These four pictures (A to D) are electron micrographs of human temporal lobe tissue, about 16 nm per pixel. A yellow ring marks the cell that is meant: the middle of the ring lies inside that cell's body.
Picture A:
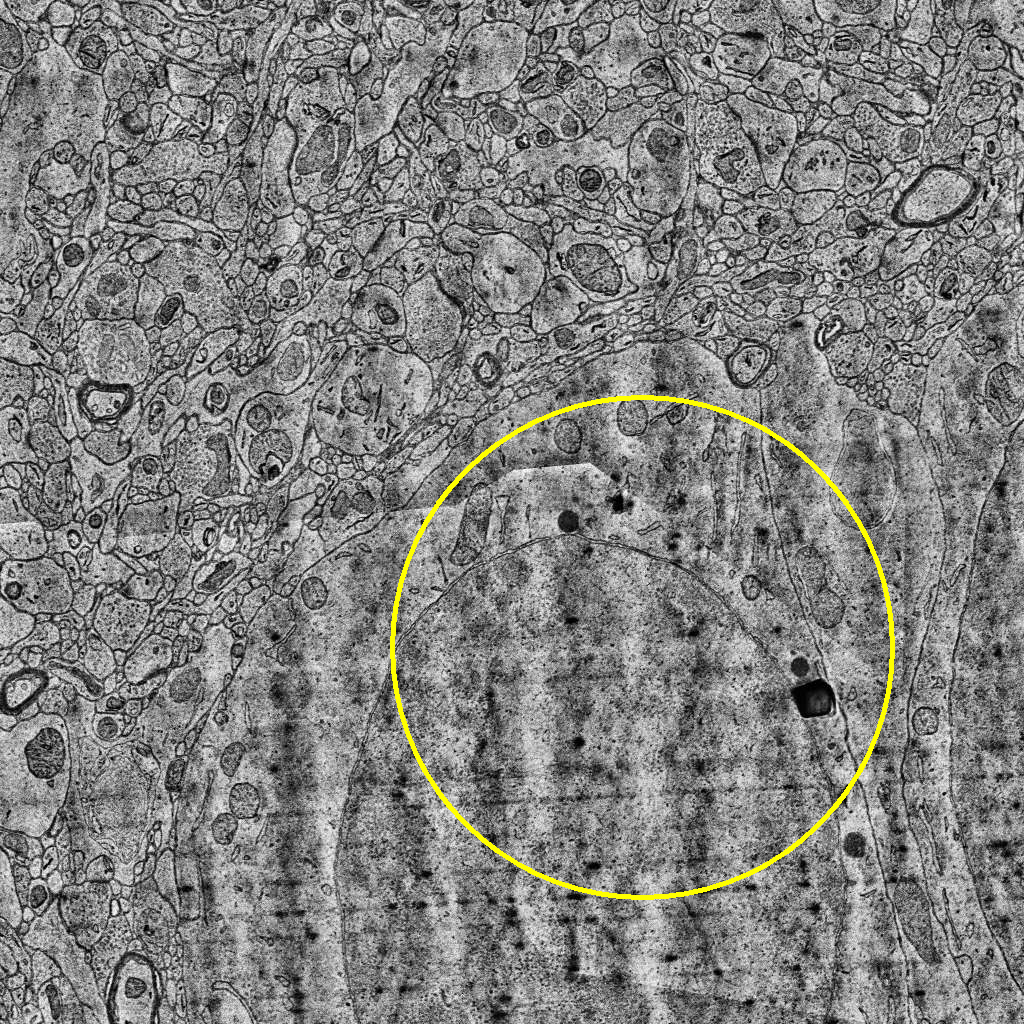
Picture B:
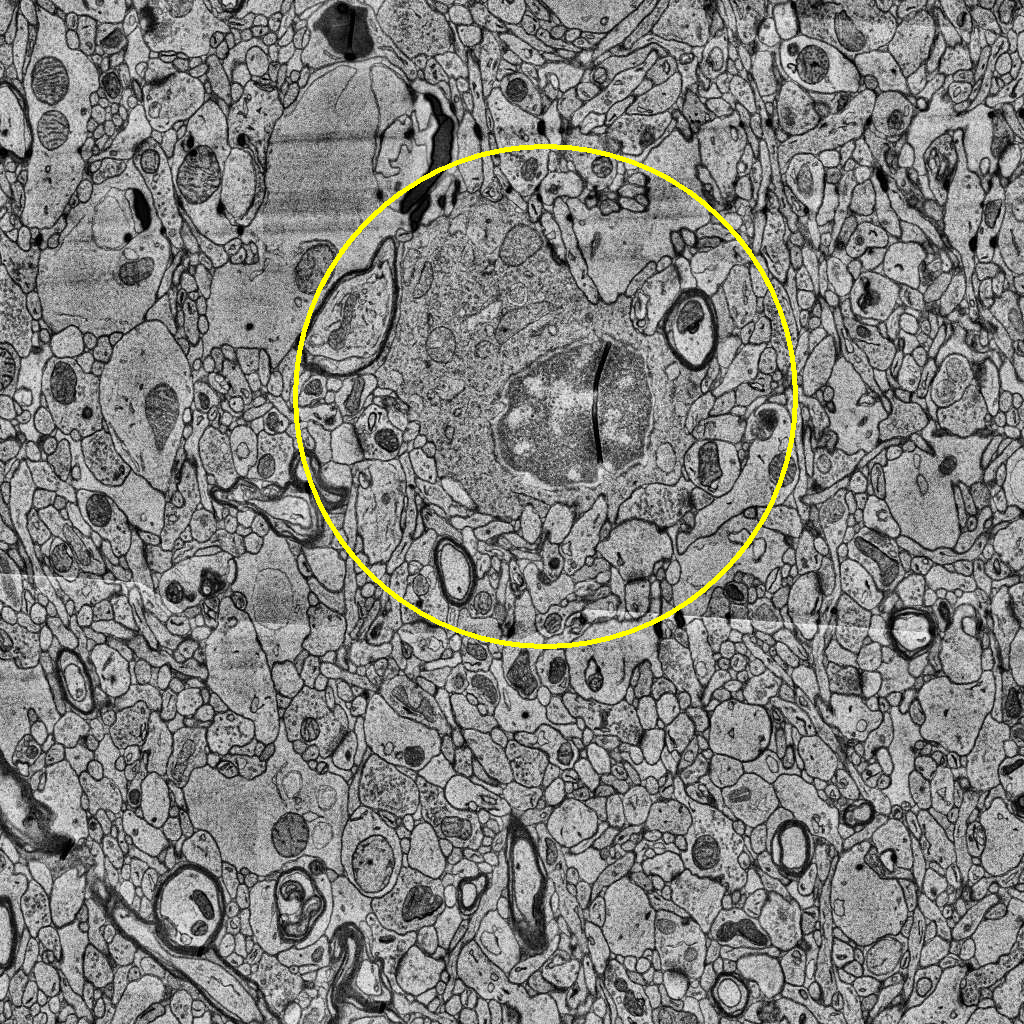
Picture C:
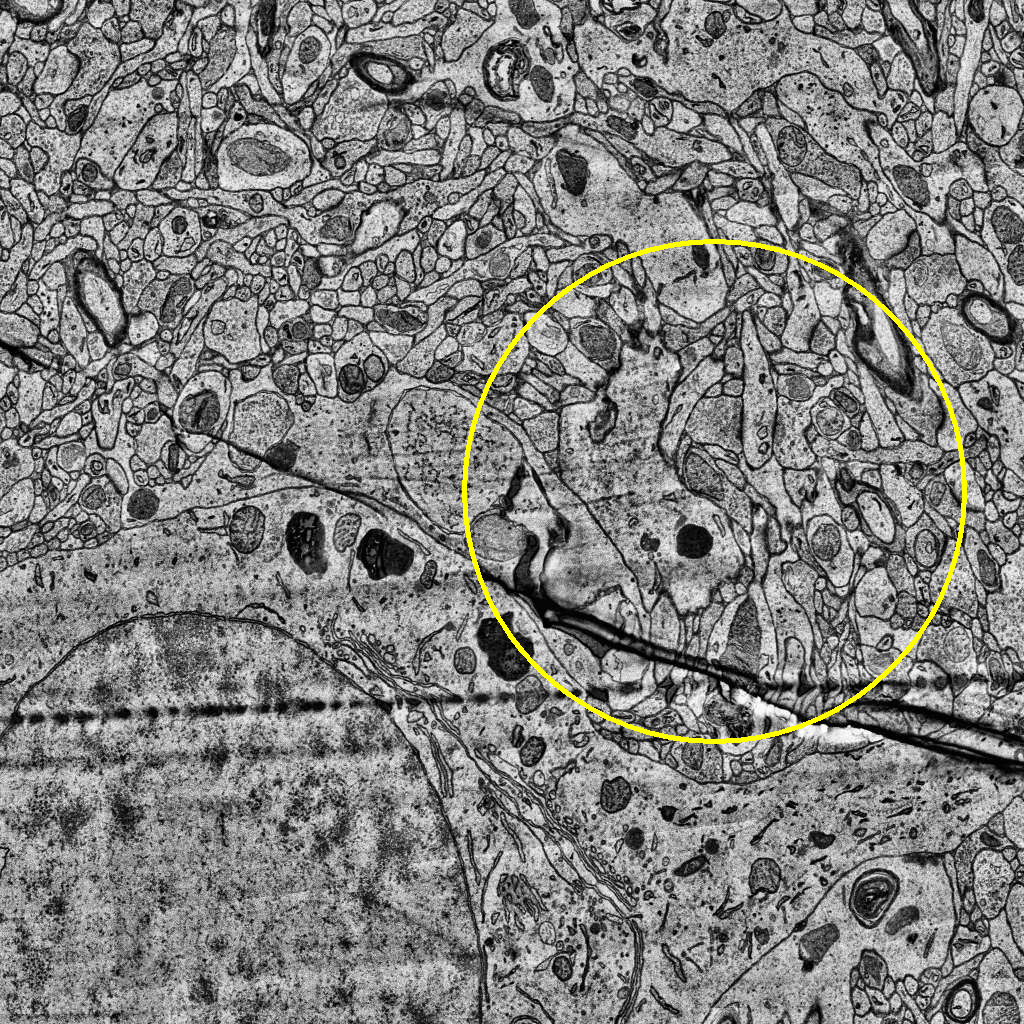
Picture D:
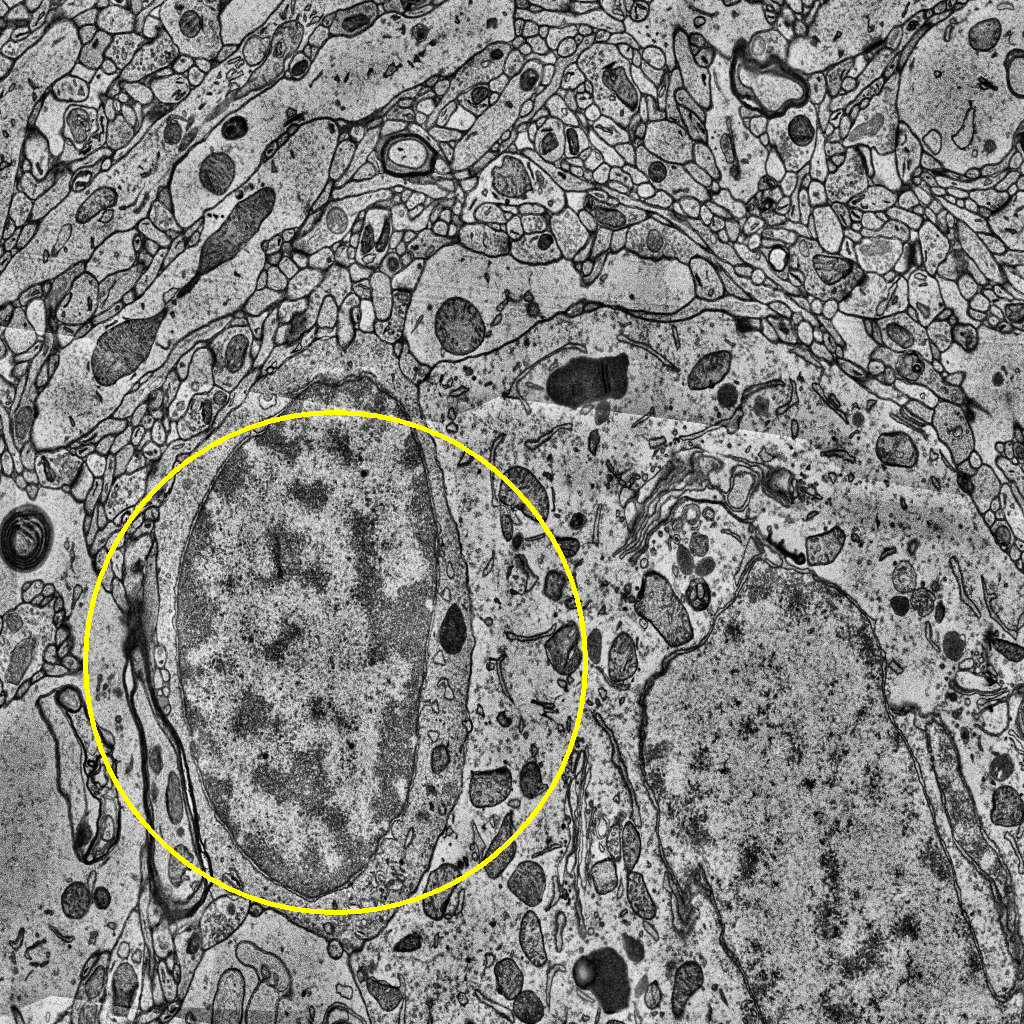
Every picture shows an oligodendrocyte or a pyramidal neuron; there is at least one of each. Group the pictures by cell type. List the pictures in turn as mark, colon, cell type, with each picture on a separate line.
A: pyramidal neuron
B: oligodendrocyte
C: pyramidal neuron
D: oligodendrocyte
